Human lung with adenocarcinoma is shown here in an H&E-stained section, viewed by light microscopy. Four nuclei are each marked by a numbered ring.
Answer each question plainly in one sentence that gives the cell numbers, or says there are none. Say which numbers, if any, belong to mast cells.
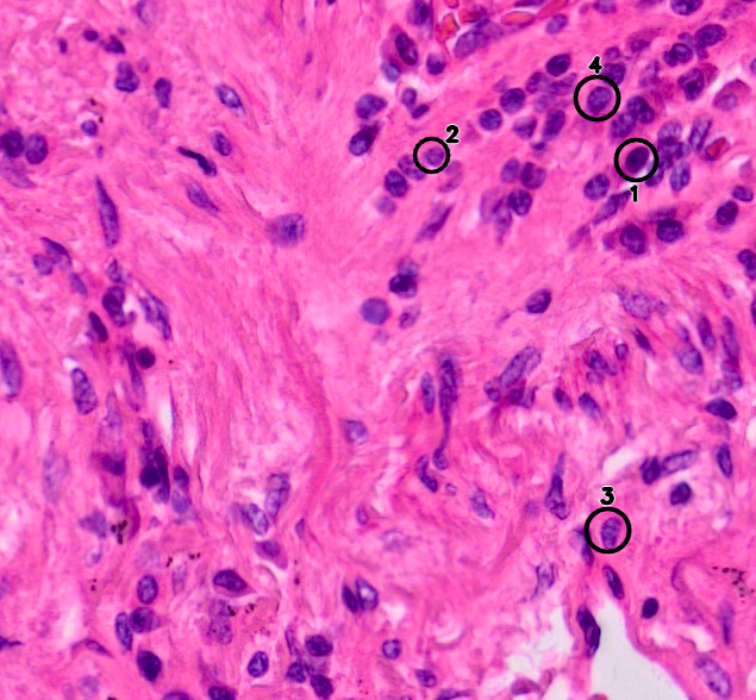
Only one choice fits: cell 3 is a mast cell, and no other.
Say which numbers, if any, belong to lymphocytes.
Here, the cells that carry numbers 2 and 4 are lymphocytes.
